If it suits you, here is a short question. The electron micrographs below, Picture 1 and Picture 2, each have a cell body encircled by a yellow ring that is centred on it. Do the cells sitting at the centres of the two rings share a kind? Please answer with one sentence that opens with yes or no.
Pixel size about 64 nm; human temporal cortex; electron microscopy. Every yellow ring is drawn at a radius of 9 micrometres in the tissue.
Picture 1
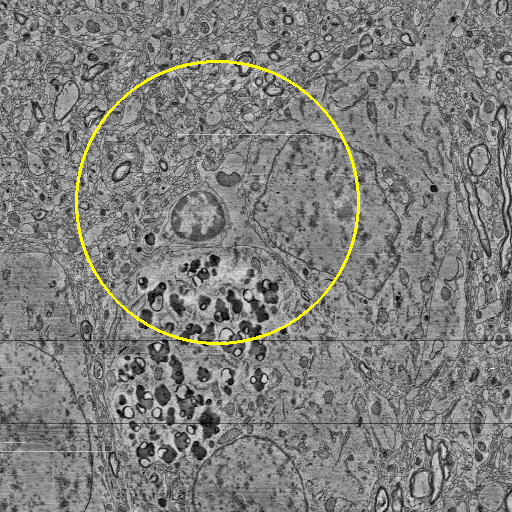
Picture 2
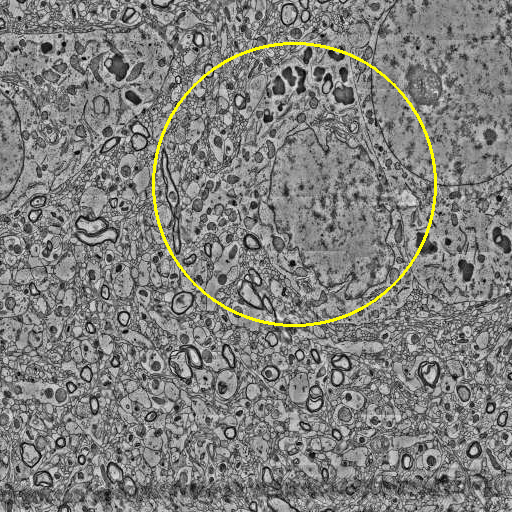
No, the two cells sitting at the ring centres fall into two kinds.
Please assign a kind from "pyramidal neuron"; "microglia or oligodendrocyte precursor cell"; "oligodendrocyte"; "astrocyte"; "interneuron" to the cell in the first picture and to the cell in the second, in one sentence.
In the first picture we have a microglial cell or oligodendrocyte precursor cell, and in the second, an interneuron.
